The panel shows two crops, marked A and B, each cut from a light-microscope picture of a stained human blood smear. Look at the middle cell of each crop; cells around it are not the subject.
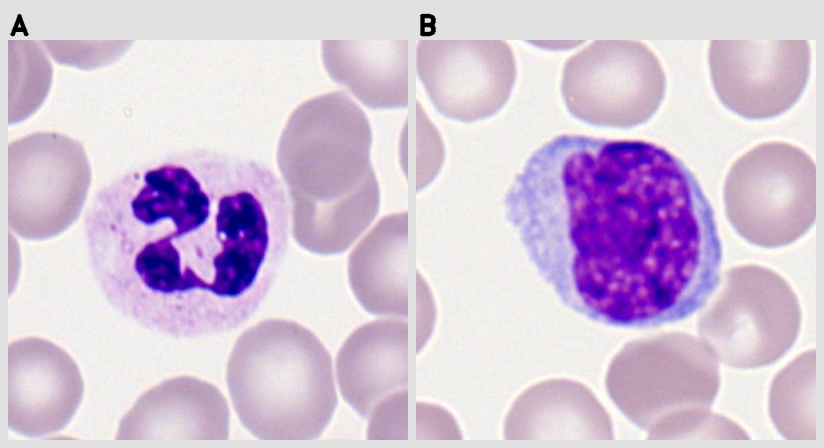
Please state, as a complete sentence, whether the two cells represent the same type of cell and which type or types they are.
No, the middle of crop A holds a neutrophil, and the middle of crop B holds a monocyte.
